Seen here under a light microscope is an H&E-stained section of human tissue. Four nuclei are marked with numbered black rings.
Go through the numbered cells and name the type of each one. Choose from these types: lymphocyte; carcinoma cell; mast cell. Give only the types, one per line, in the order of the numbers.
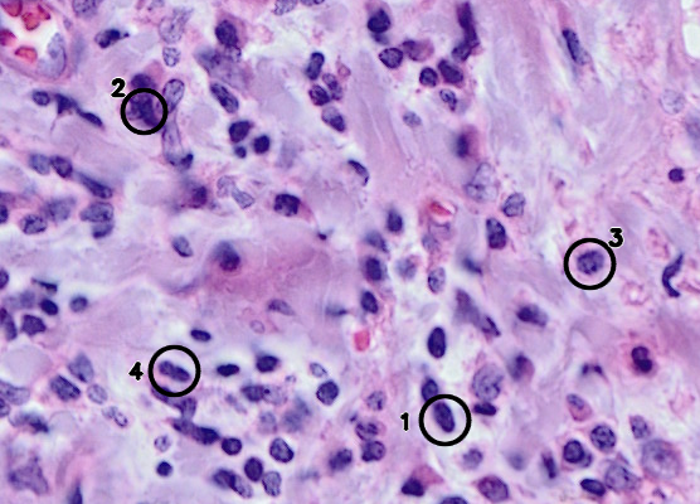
lymphocyte
lymphocyte
mast cell
lymphocyte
